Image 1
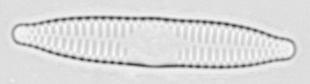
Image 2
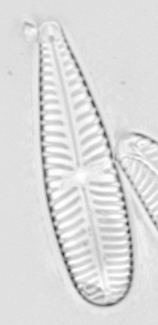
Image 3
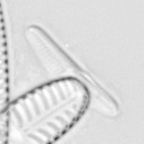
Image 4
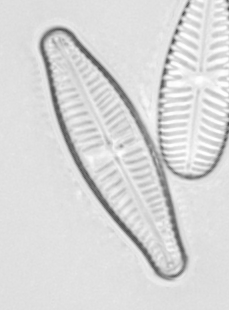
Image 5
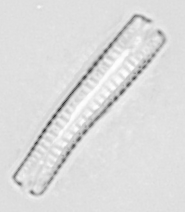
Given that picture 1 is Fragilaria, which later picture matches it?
5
